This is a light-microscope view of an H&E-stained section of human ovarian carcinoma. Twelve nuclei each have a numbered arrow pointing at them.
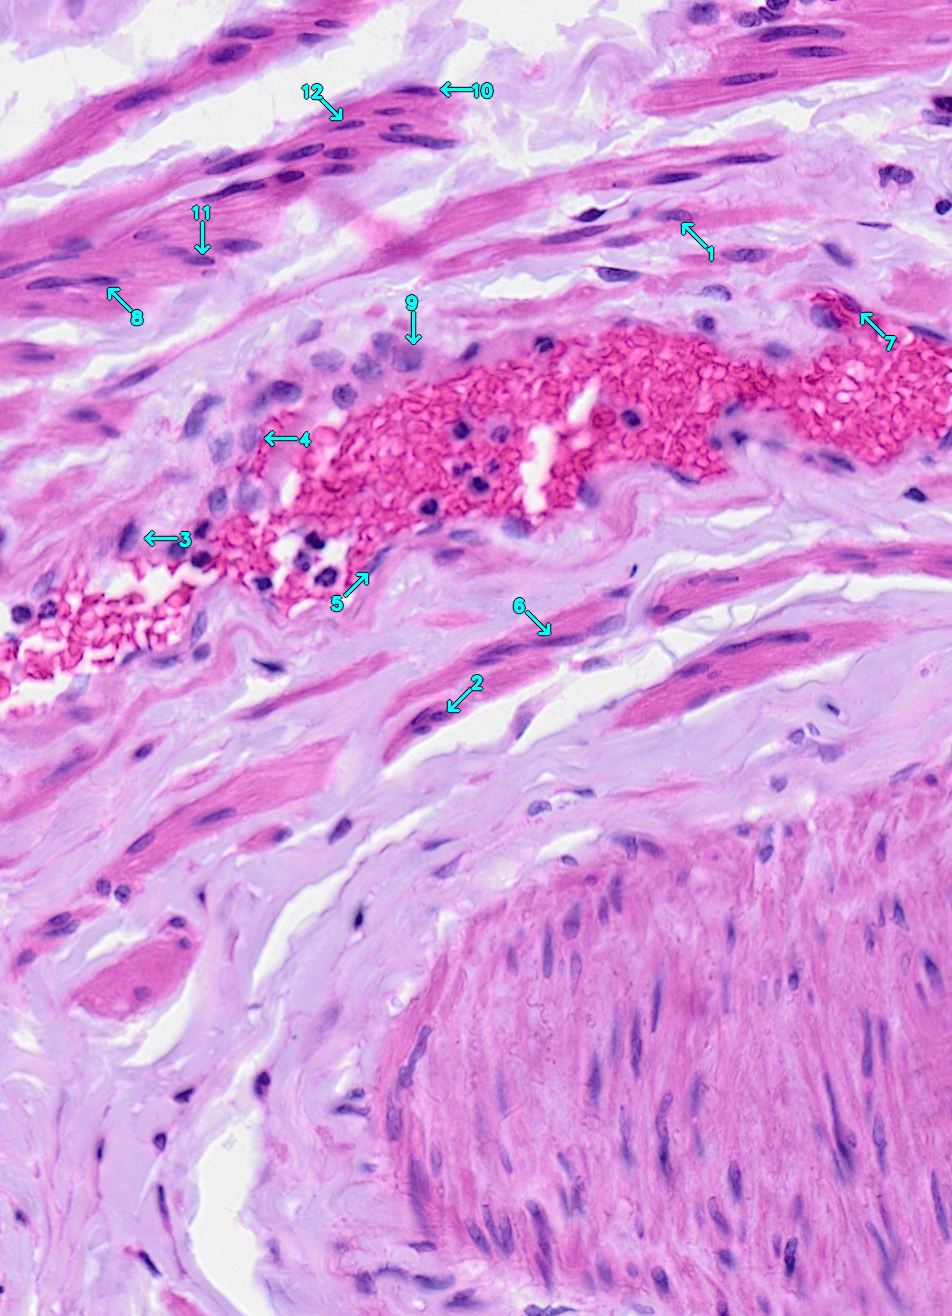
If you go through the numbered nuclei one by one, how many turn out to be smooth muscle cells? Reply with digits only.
7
